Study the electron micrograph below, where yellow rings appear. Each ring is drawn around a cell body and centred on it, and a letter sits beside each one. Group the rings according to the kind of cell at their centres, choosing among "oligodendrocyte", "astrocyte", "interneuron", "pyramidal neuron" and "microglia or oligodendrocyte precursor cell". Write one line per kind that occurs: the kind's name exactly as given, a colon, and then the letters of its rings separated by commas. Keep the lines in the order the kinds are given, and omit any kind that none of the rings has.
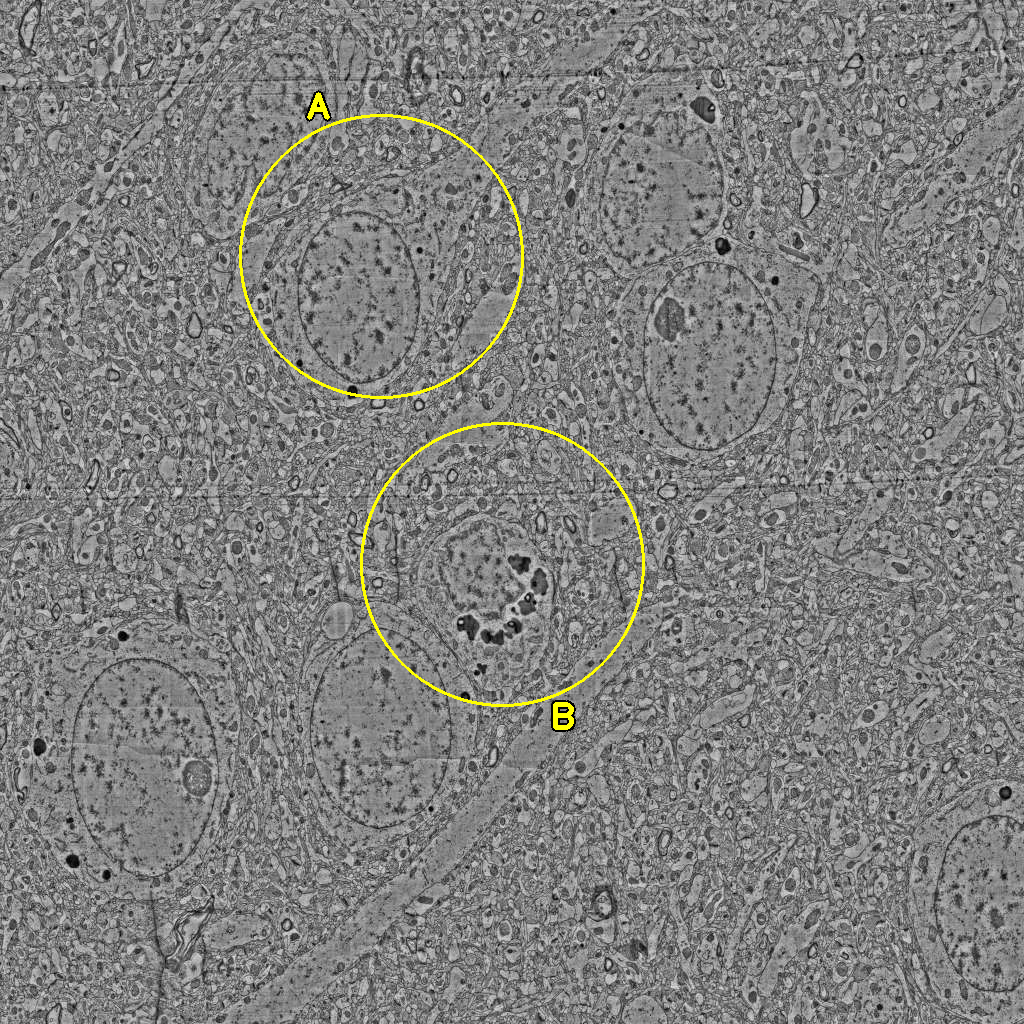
interneuron: B
pyramidal neuron: A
